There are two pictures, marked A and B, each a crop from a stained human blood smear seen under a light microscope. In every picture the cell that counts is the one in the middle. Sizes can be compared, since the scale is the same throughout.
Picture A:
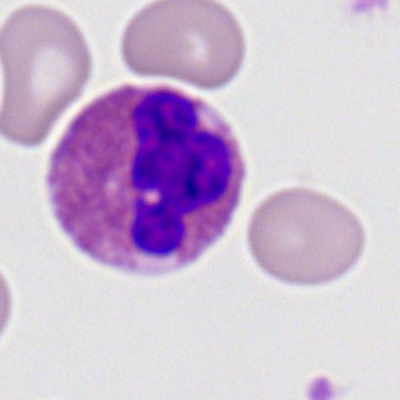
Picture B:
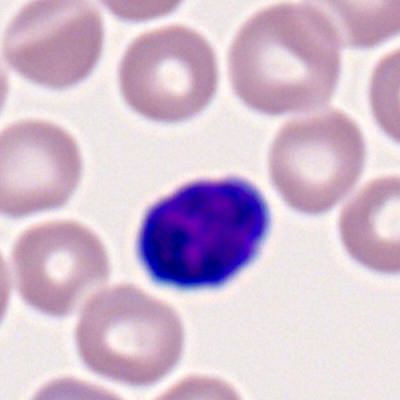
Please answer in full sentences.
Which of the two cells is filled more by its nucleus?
In picture B the nucleus takes up the larger part of its cell.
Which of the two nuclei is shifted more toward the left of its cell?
The nucleus in picture B lies further toward the left of its cell.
